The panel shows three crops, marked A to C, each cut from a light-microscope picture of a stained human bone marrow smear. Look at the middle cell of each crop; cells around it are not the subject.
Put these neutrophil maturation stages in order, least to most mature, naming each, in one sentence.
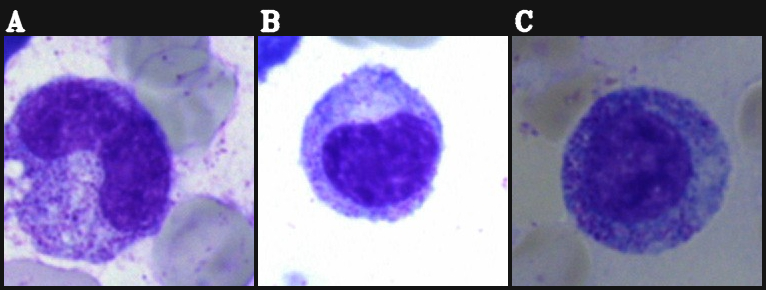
The order of increasing maturity among the crops is crop C (a myelocyte), crop B (a metamyelocyte) and crop A (a band neutrophil).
